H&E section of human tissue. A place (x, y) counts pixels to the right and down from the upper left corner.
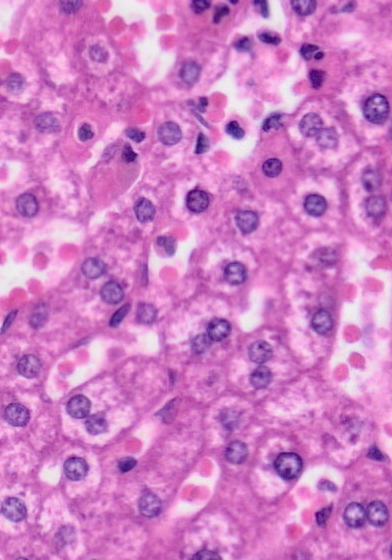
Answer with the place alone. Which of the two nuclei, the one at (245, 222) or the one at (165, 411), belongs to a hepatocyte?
(245, 222)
